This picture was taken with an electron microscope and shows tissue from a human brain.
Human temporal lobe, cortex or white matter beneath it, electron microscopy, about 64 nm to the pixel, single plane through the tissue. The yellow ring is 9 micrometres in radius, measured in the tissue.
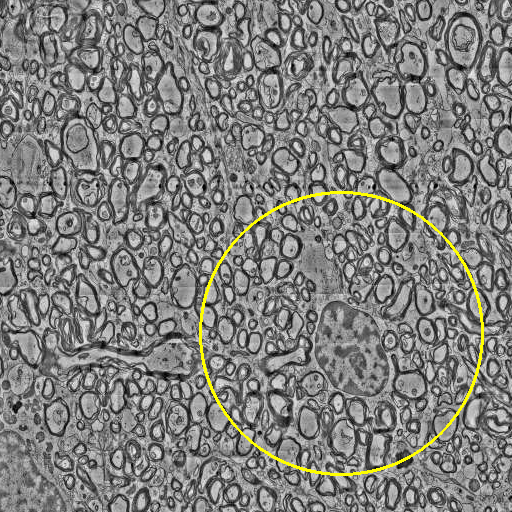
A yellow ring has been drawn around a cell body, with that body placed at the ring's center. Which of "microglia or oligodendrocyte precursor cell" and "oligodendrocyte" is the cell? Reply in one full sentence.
In this picture, a microglial cell or oligodendrocyte precursor cell is the cell at the center of the yellow ring.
